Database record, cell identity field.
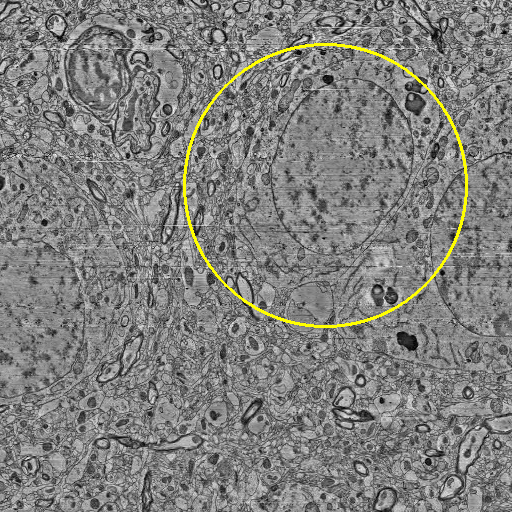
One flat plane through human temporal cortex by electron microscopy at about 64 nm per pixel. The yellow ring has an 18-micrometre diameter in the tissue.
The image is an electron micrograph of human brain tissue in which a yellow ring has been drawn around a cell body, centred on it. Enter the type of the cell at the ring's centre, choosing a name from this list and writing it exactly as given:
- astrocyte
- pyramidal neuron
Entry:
pyramidal neuron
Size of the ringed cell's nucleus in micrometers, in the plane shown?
In this plane, the nucleus is roughly 12 by 9 micrometres.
